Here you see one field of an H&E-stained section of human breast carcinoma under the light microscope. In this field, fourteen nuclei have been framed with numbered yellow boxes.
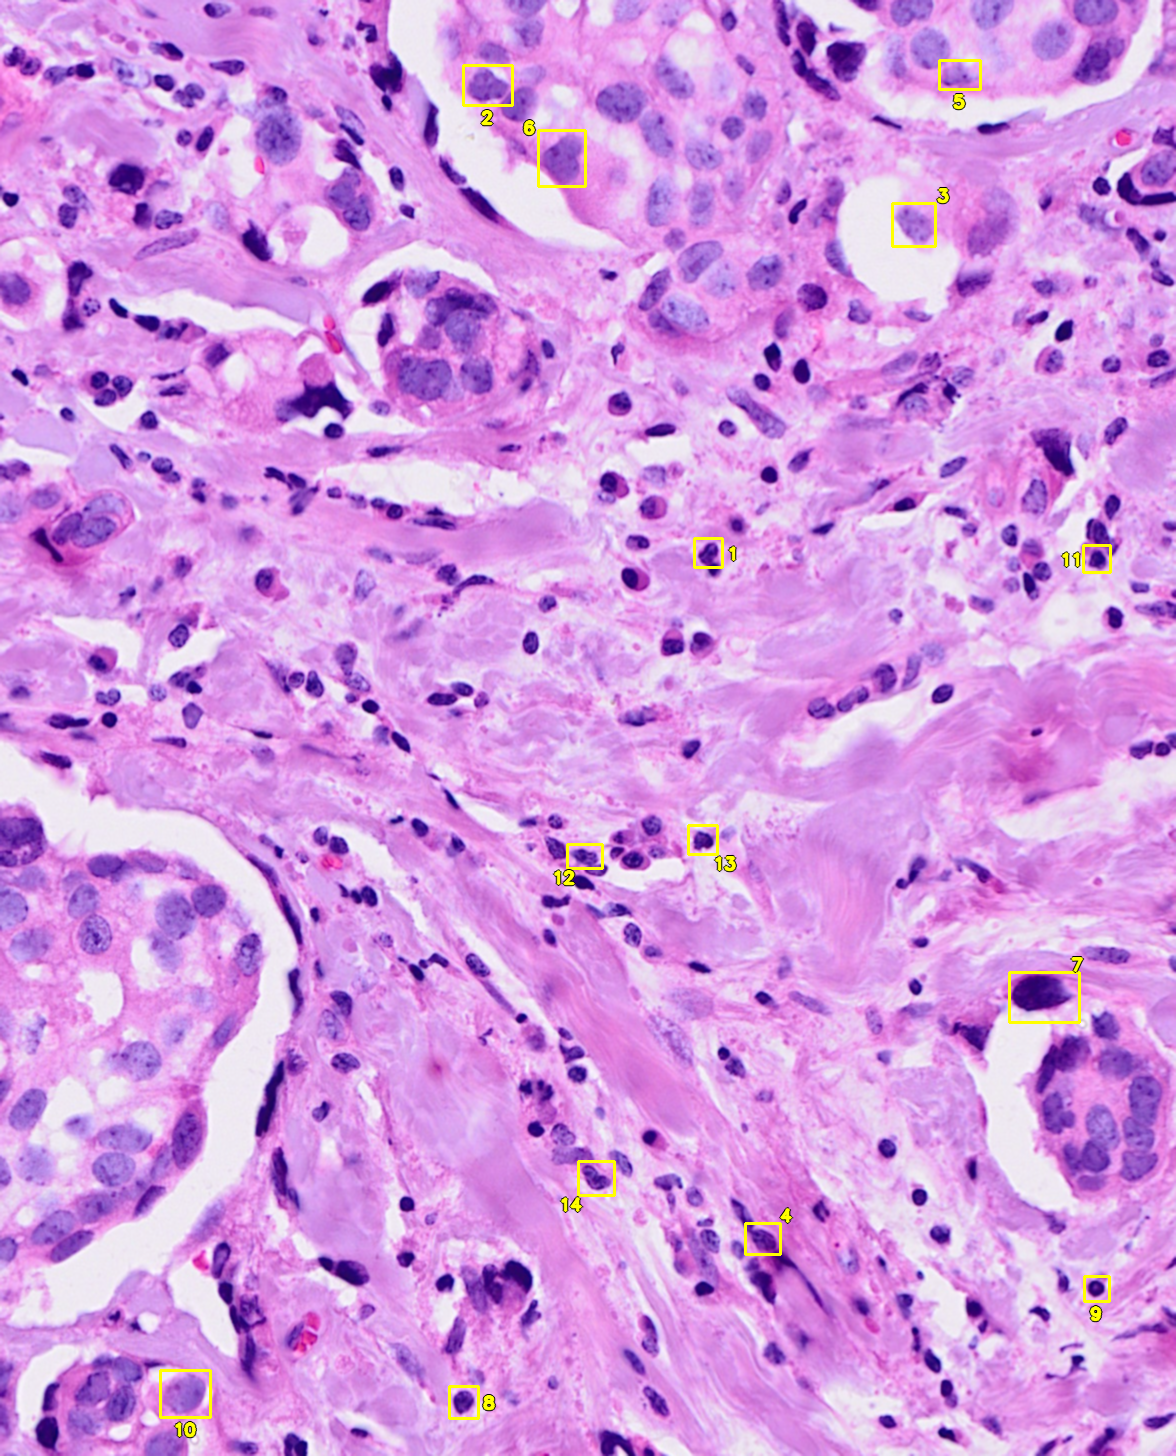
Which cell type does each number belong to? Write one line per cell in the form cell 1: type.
cell 1: lymphocyte
cell 2: carcinoma cell
cell 3: carcinoma cell
cell 4: lymphocyte
cell 5: carcinoma cell
cell 6: carcinoma cell
cell 7: carcinoma cell
cell 8: lymphocyte
cell 9: lymphocyte
cell 10: carcinoma cell
cell 11: lymphocyte
cell 12: lymphocyte
cell 13: lymphocyte
cell 14: lymphocyte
